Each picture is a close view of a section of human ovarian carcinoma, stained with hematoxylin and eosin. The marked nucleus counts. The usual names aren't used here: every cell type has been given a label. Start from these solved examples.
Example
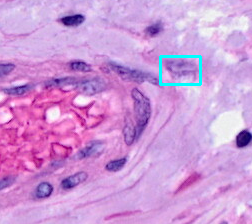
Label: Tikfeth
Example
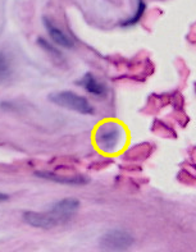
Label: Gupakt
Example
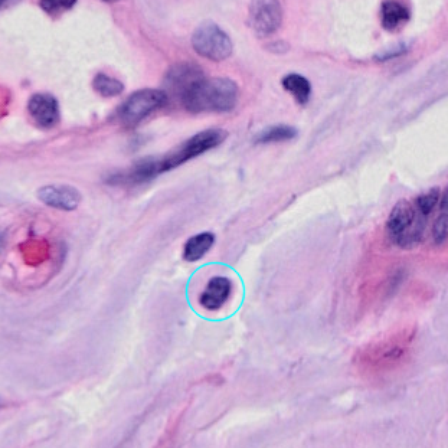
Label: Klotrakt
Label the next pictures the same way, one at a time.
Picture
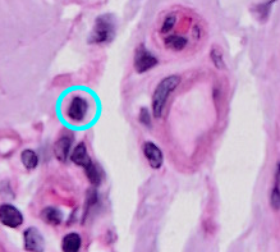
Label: Klotrakt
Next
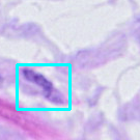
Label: Tikfeth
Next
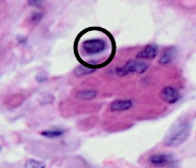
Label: Klotrakt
